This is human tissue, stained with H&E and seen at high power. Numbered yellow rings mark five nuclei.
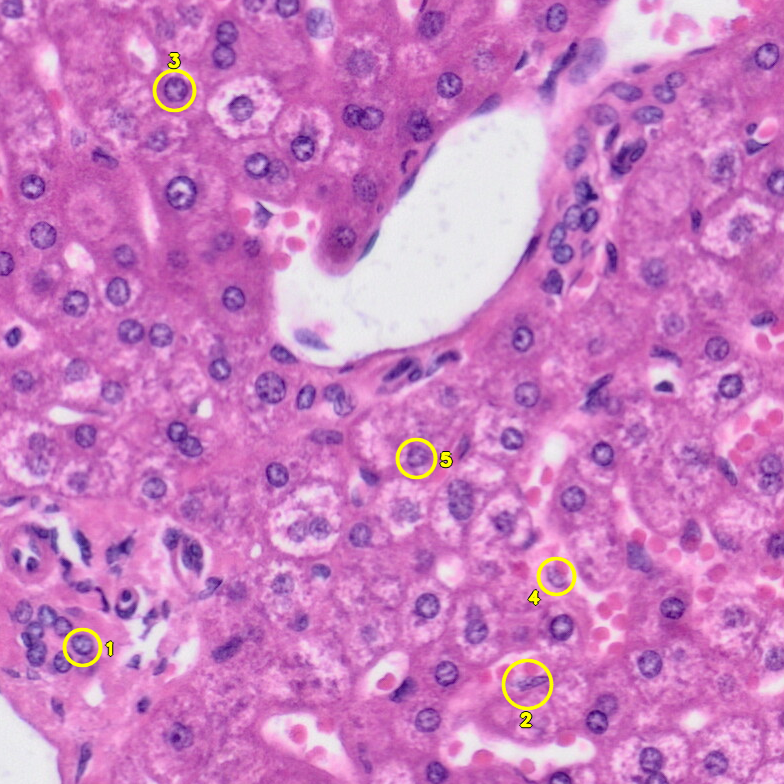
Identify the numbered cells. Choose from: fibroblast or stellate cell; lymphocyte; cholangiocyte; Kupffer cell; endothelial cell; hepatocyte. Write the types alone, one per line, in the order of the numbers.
cholangiocyte
endothelial cell
hepatocyte
Kupffer cell
hepatocyte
